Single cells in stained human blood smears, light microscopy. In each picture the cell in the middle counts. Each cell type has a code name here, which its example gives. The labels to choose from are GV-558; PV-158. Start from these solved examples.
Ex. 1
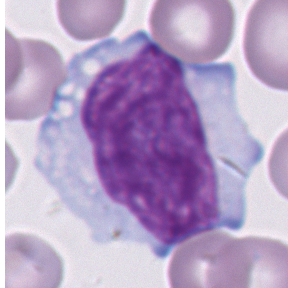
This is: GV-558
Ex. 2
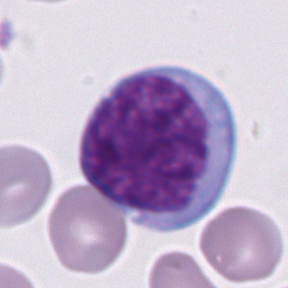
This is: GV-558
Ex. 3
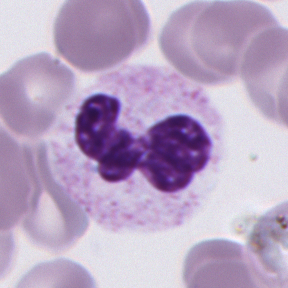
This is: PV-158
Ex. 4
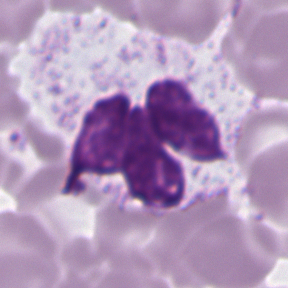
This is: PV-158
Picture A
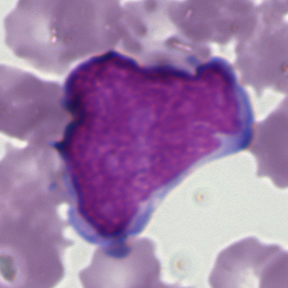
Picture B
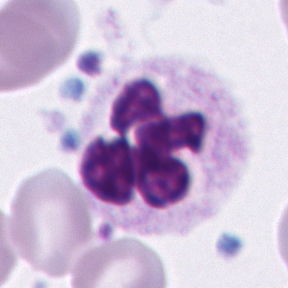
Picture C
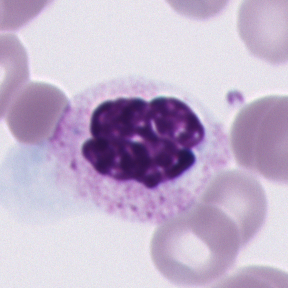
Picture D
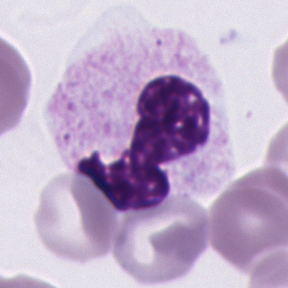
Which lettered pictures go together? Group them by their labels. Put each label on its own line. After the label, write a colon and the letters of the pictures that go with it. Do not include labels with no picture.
GV-558: A
PV-158: B, C, D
